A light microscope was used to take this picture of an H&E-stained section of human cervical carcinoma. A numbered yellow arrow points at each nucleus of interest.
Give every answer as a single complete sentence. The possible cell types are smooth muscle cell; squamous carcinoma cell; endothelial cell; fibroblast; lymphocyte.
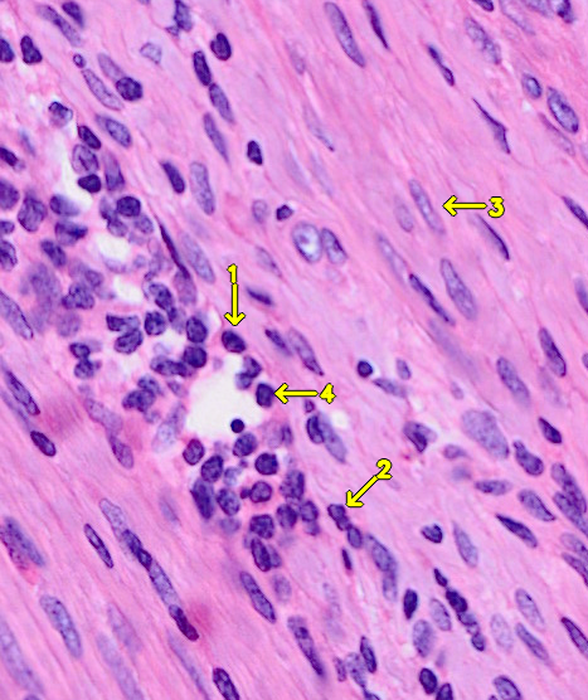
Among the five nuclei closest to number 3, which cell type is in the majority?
Fibroblasts account for more than half of the five nuclei nearest to number 3.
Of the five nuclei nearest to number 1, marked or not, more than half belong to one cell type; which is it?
Most of the five nuclei nearest to number 1 are those of lymphocytes.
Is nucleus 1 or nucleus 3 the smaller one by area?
With nucleus 3 about 1.5 times its size, nucleus 1 is the smaller of the two.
